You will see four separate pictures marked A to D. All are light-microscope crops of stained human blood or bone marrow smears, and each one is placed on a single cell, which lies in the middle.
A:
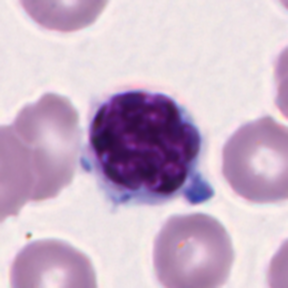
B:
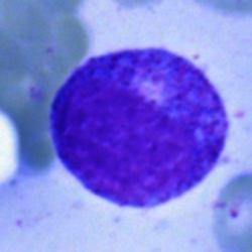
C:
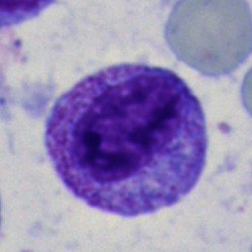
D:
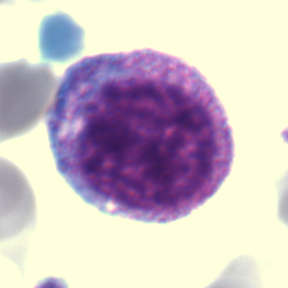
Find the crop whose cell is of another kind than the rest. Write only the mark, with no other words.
A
